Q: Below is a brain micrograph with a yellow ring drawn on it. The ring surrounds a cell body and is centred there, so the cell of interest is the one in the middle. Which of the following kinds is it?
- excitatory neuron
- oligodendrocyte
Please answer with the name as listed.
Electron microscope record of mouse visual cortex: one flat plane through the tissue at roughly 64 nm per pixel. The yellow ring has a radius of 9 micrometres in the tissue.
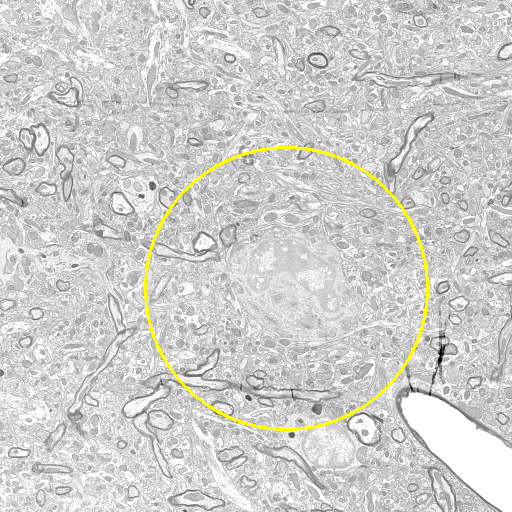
oligodendrocyte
